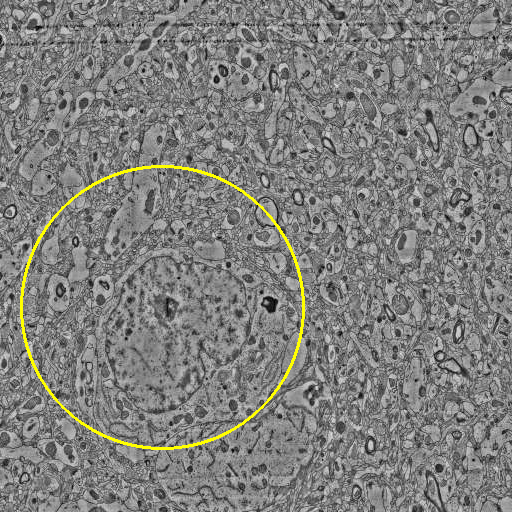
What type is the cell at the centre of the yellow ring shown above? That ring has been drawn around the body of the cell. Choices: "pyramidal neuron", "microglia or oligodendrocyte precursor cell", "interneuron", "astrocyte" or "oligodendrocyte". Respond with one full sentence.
My answer is that an interneuron lies at the centre of the yellow ring above.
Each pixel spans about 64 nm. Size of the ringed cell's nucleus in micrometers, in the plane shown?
Roughly 10 by 8 micrometres in this plane, for the nucleus of the ringed cell.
